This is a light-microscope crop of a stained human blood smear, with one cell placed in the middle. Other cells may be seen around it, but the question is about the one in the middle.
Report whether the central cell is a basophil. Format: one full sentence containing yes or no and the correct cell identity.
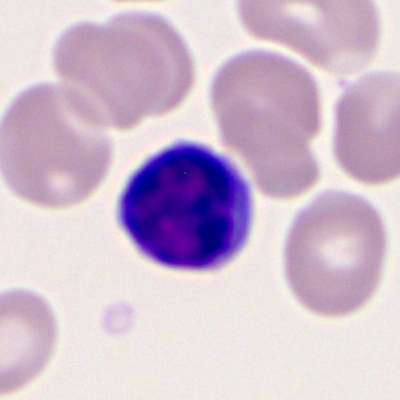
No, the middle cell is classified as a lymphocyte and not as a basophil.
